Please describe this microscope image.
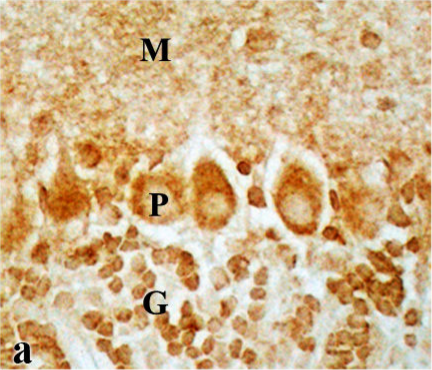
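Cerebellar cortex with the molecular layer above, a single row of large Purkinje cell bodies in the middle and the granule cell layer below. The Purkinje cell bodies are rounded to flask-shaped, with strongly brown cytoplasm around a paler central nucleus. The granule cell layer is made of densely packed small round cell bodies, each stained brown. The molecular layer is a pale, finely granular neuropil with a few scattered small stained cells.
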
